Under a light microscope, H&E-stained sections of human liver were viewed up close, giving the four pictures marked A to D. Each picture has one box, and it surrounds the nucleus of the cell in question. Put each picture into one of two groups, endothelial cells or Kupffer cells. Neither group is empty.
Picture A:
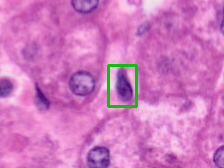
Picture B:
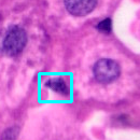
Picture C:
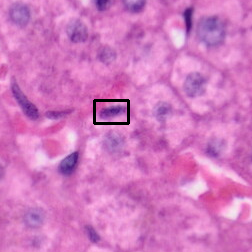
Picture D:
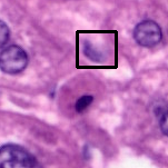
A: Kupffer cell
B: endothelial cell
C: endothelial cell
D: endothelial cell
